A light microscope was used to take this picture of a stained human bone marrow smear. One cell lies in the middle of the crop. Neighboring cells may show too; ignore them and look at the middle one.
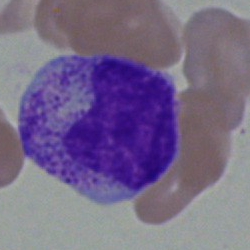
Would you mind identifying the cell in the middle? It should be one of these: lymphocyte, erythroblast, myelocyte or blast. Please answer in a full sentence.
The cell sitting right in the middle is a myelocyte.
